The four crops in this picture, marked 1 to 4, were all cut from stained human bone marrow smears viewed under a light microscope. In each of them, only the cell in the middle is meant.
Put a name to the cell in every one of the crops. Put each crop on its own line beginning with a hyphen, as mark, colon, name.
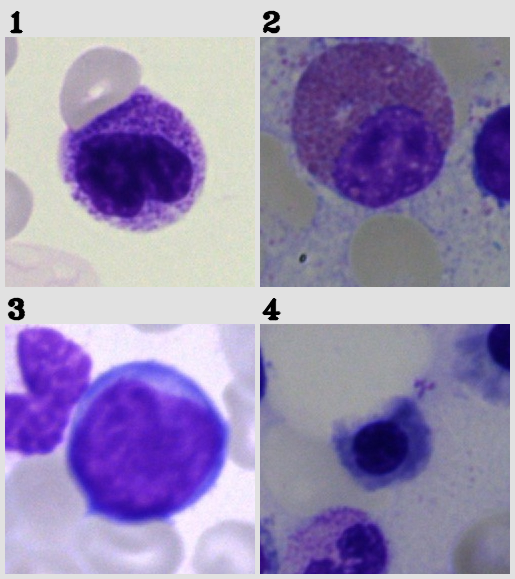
- 1: band neutrophil
- 2: eosinophil
- 3: blast
- 4: erythroblast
